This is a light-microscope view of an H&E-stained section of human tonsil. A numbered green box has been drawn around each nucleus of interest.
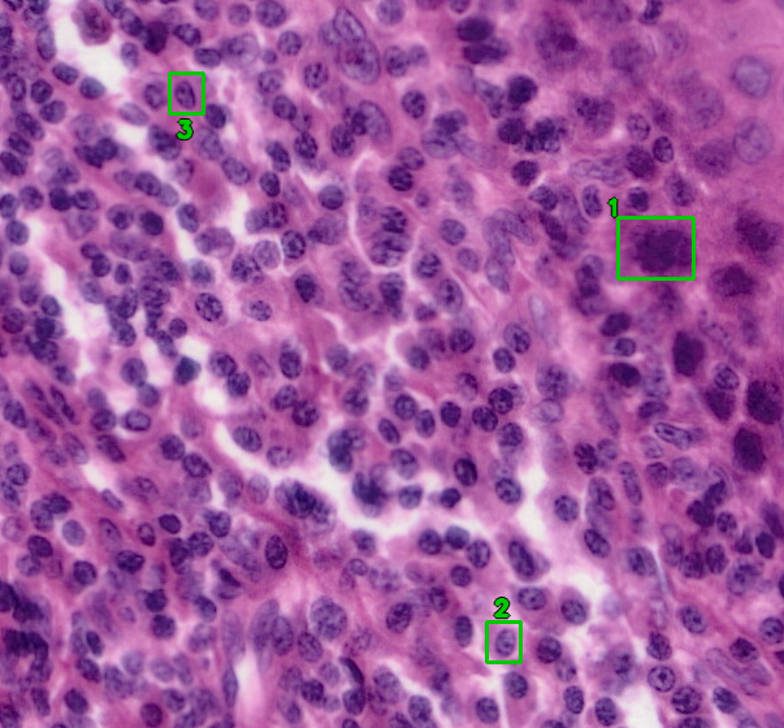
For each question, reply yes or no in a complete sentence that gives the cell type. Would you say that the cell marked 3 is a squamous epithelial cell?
No, cell 3 is to be classed as a plasma cell, not a squamous epithelial cell.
